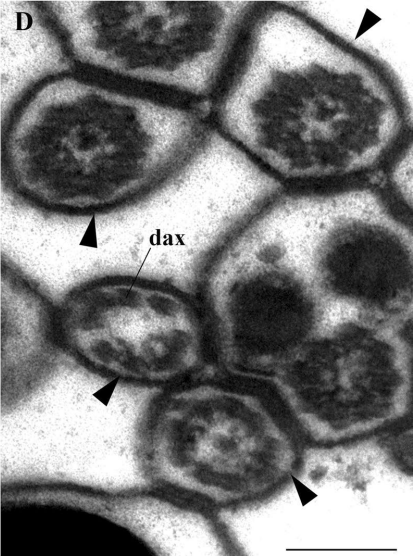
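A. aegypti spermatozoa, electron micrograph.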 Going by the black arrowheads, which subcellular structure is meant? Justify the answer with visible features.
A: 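Small round-to-oval profiles bounded by a membrane. The arrowhead-marked profiles contain an axoneme-like ring of microtubules but no large dense round bodies beside it.
Answer: Final portions of the sperm flagella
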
